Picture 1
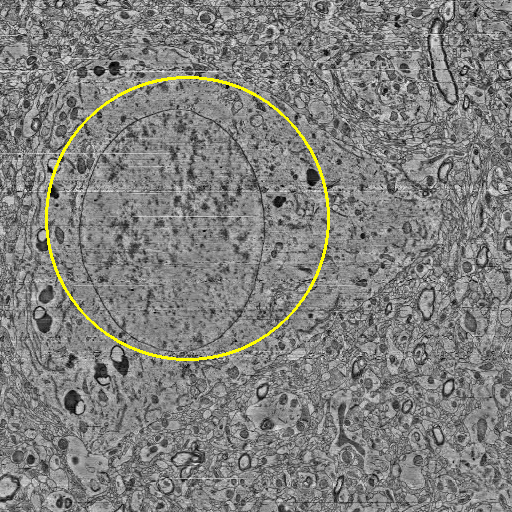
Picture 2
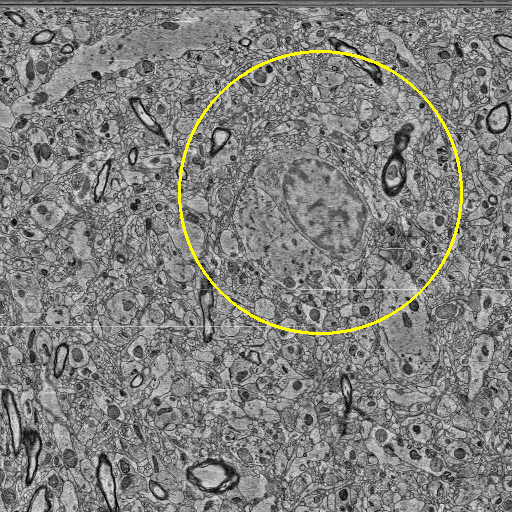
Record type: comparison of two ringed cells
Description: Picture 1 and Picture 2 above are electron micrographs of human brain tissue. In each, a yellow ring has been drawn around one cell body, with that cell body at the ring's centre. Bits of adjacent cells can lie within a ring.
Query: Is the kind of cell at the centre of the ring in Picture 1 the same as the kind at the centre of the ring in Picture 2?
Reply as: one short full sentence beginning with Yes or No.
No, the two ringed cells are of two separate kinds.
